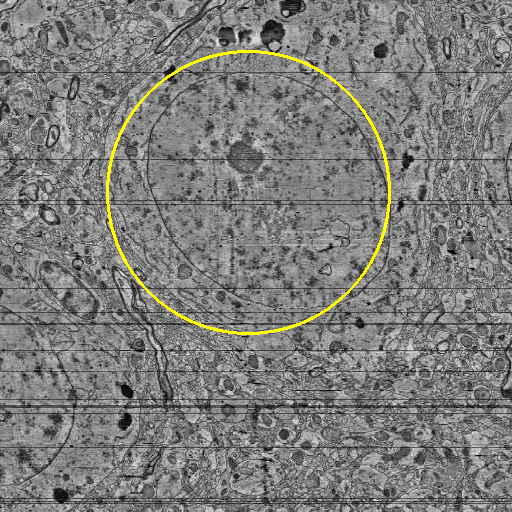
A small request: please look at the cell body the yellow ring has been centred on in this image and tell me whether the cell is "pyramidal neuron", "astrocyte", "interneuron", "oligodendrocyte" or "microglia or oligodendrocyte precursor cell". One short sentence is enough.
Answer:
The cell marked by the ring is a pyramidal neuron.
